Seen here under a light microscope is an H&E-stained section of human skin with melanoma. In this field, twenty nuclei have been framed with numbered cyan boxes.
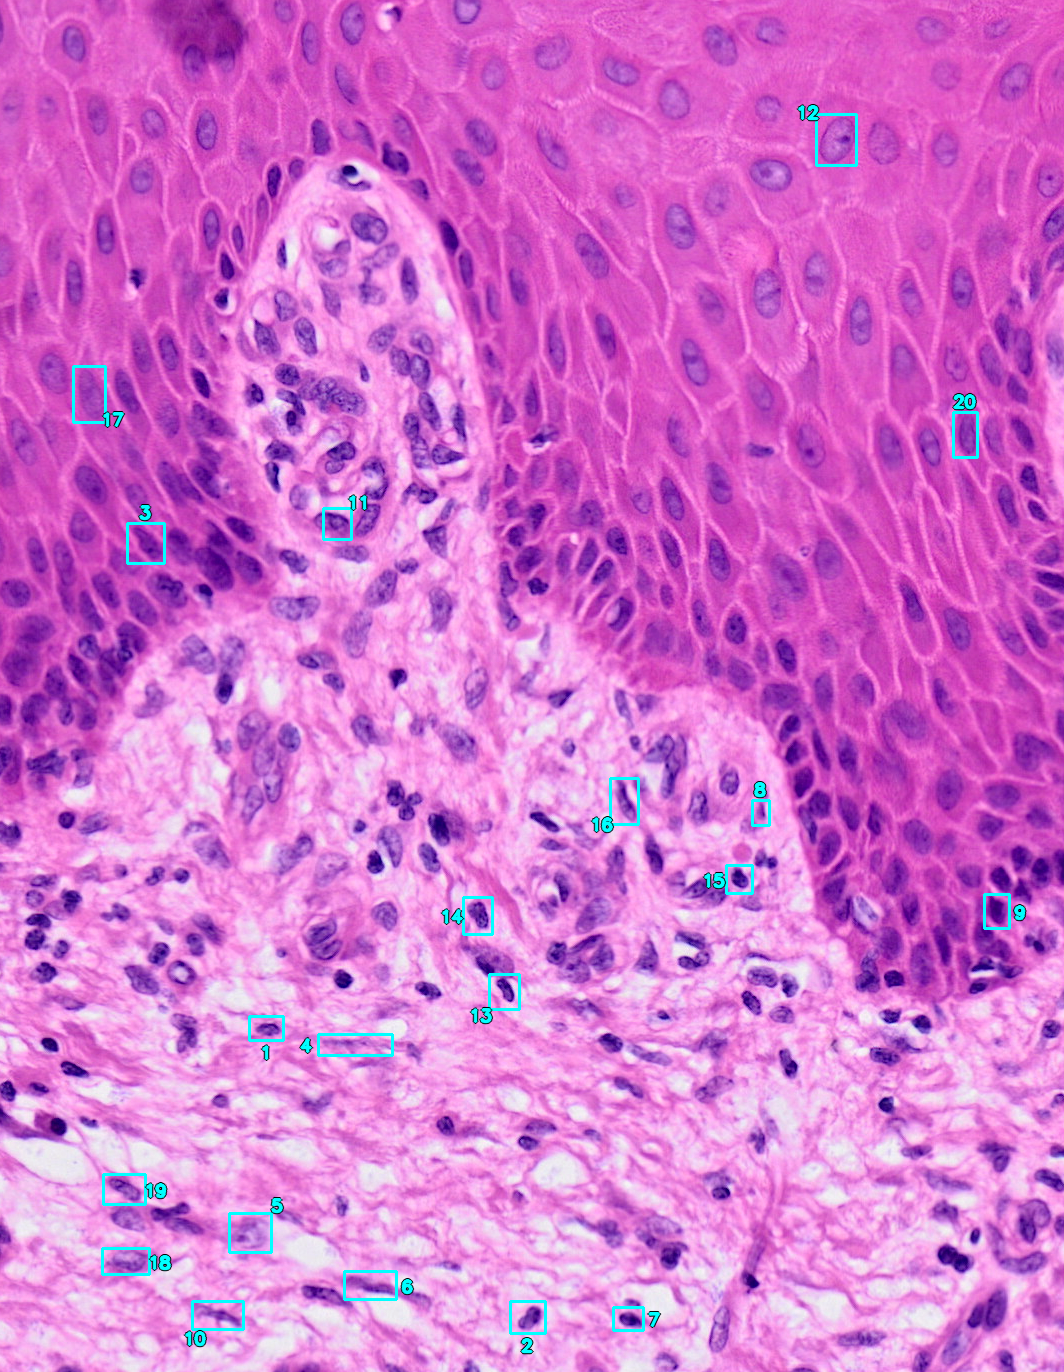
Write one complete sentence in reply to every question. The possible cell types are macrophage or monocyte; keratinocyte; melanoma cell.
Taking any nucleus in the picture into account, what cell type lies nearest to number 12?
Closest to number 12 lies the nucleus of a keratinocyte.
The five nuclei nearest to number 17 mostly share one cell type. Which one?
Of the five nuclei nearest to number 17, most belong to keratinocytes.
